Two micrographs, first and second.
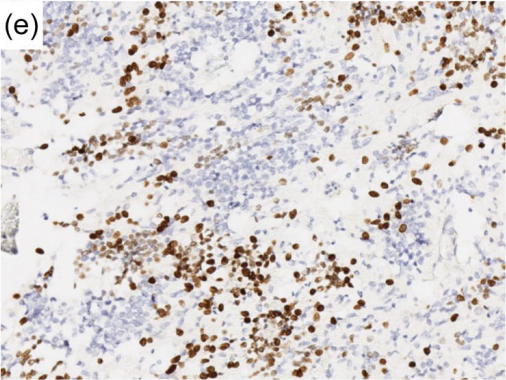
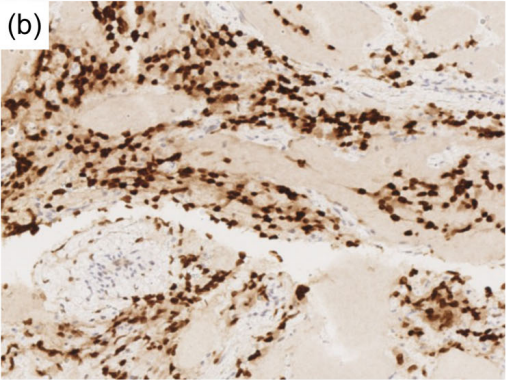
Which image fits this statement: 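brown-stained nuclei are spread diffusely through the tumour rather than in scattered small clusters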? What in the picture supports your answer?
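The second image. First image: brown nuclei form scattered groups with many blue unstained nuclei between them. Second image: brown nuclei run throughout the cellular areas around the pale matrix islands.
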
